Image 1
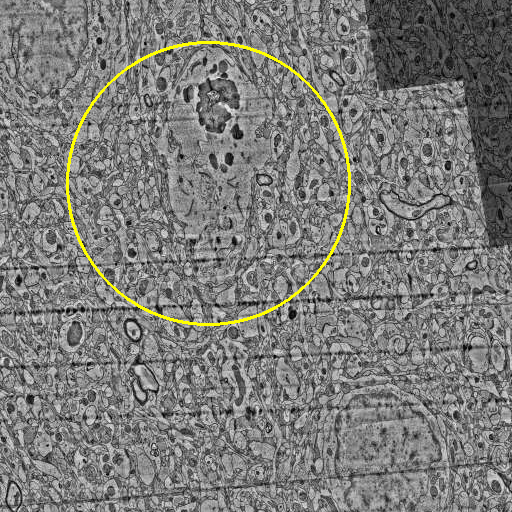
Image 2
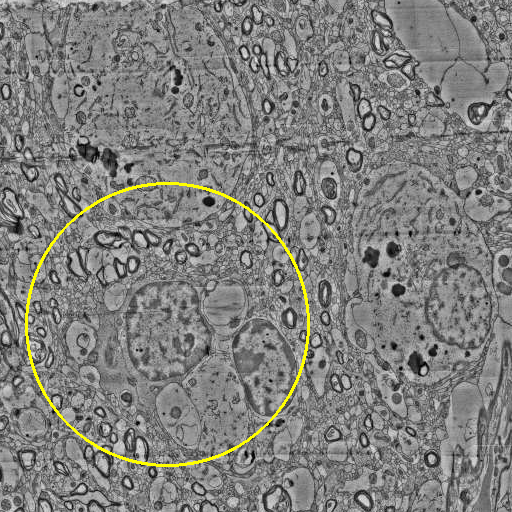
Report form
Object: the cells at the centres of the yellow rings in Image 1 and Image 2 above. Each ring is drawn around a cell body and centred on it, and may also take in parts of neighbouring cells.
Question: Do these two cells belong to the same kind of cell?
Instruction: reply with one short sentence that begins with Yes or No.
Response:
No, they belong to two kinds of cell.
